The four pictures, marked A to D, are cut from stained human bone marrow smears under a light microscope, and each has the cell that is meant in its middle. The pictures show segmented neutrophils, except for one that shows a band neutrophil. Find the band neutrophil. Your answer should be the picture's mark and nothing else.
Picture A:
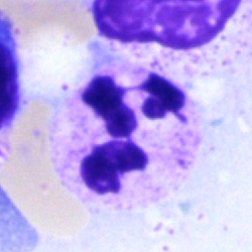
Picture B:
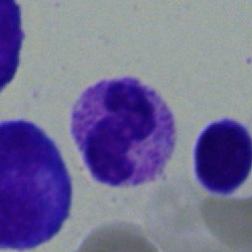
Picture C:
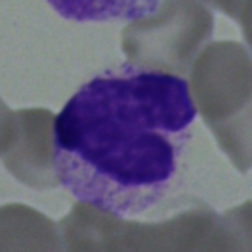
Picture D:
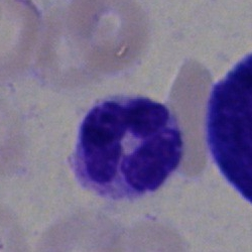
C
